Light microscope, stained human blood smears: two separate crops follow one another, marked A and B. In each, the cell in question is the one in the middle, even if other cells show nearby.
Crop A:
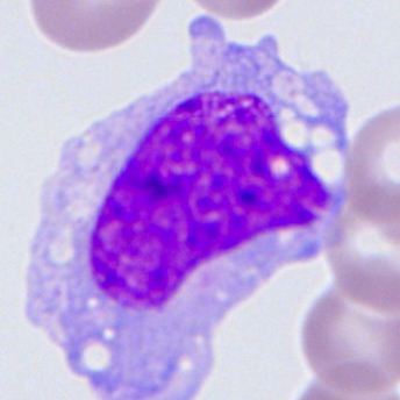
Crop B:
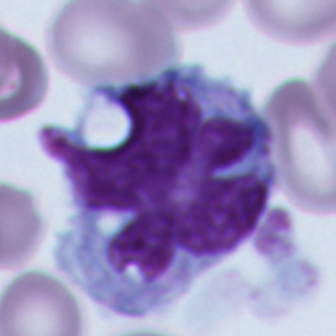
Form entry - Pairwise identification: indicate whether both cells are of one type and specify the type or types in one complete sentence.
Yes, both crops show monocytes, to put it briefly.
